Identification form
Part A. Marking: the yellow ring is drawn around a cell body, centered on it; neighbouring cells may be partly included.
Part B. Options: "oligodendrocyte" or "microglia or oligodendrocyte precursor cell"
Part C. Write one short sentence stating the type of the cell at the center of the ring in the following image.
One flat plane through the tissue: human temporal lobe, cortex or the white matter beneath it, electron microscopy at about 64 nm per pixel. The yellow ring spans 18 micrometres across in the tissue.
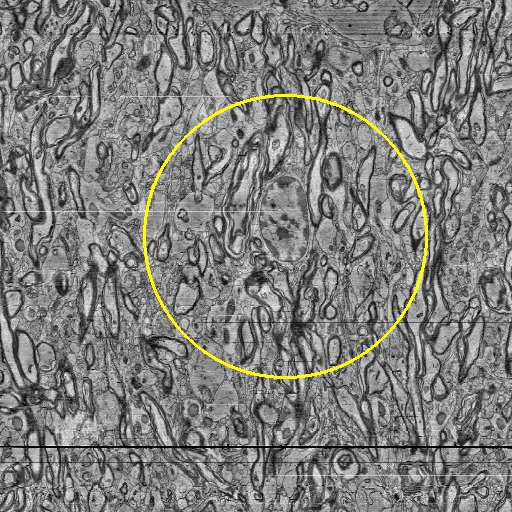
The center of the ring holds a microglial cell or oligodendrocyte precursor cell.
